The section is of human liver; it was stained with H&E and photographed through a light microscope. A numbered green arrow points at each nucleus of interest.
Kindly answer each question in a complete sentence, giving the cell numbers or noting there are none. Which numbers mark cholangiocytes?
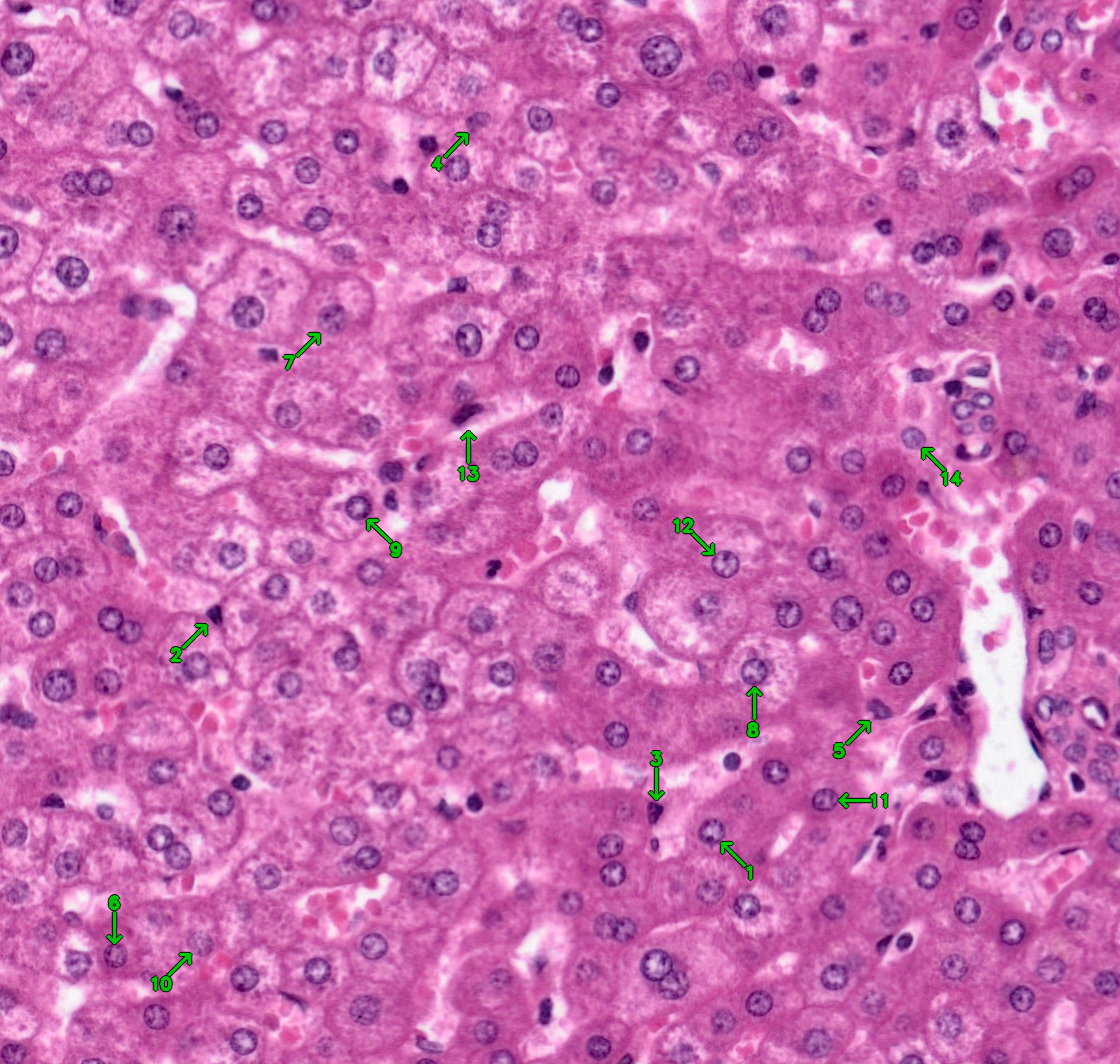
Cell 14 is a cholangiocyte, and that holds for no other numbered cell.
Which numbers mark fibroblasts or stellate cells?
As for the cells numbered 2, 3 and 5, they are fibroblasts or stellate cells.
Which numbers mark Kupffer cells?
Of the numbered nuclei, only the one labelled 13 belongs to a Kupffer cell.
